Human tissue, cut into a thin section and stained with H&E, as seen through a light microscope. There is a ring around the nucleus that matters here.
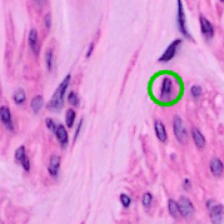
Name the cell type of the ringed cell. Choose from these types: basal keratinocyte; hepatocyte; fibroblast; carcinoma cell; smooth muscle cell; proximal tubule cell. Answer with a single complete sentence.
For cell typing purposes, the ringed cell is a smooth muscle cell.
